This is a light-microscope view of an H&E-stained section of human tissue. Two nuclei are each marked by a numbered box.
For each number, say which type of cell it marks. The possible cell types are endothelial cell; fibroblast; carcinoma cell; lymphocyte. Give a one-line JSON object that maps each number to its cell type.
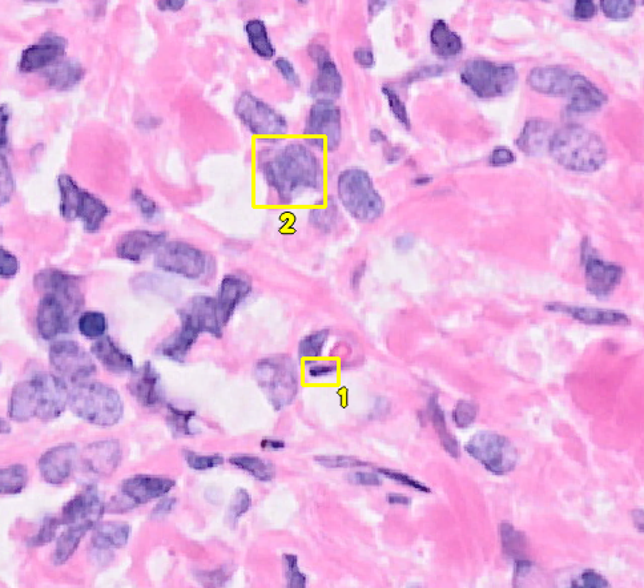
{"1": "endothelial cell", "2": "carcinoma cell"}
